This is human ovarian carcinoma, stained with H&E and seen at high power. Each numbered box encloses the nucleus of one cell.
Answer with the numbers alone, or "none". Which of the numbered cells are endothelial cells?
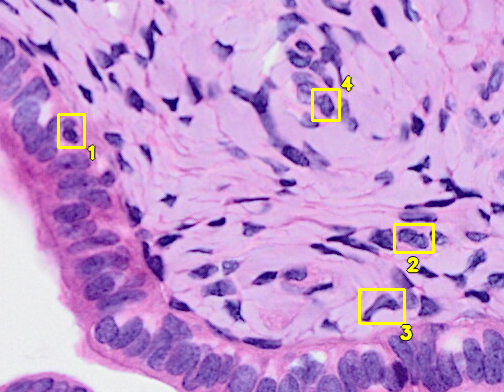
2, 4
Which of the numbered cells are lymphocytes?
1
